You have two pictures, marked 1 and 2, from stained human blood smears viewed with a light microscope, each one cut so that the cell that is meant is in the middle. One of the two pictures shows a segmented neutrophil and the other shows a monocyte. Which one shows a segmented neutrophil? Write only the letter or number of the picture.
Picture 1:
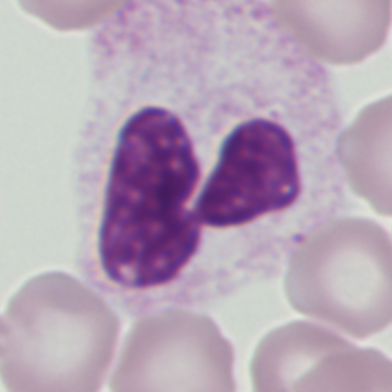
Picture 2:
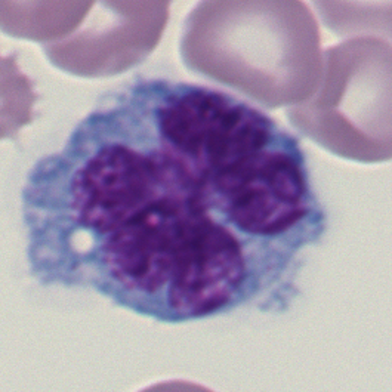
1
